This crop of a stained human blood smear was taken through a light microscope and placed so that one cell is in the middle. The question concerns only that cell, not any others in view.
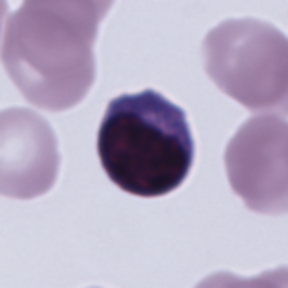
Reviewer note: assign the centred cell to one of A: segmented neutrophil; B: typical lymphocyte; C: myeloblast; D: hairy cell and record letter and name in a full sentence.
The cell in the middle is a typical lymphocyte, and that makes option B correct.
